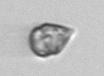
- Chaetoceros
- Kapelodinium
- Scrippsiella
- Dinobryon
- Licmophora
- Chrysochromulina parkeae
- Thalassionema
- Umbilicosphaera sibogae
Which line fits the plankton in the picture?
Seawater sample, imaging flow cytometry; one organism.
Scrippsiella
